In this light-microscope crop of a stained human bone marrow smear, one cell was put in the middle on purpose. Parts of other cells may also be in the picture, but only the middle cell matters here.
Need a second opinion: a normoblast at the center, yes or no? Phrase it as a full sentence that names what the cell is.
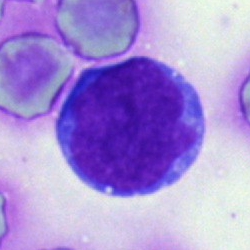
No, the centrally placed cell is a blast, not a normoblast.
